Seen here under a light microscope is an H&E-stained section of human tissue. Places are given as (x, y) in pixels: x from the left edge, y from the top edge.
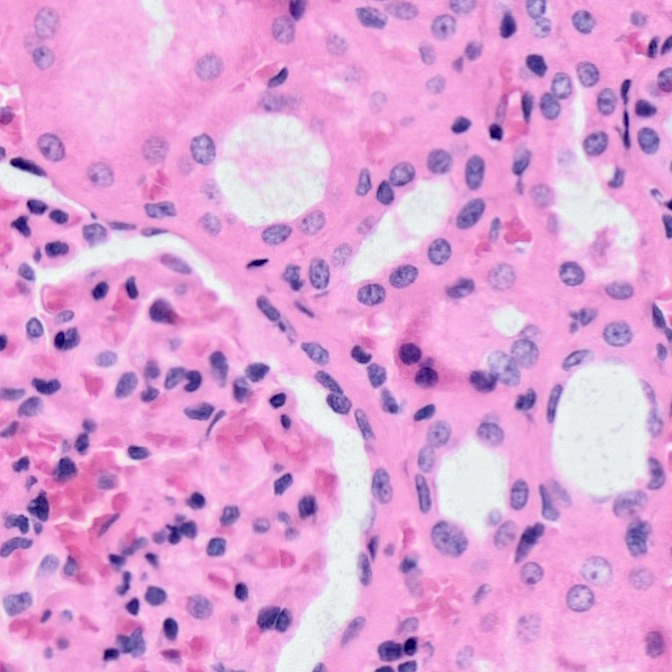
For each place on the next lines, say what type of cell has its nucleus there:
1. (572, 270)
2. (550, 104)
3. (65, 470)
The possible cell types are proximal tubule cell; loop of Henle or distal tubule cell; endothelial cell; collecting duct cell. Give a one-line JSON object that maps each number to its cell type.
{"1": "loop of Henle or distal tubule cell", "2": "loop of Henle or distal tubule cell", "3": "endothelial cell"}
